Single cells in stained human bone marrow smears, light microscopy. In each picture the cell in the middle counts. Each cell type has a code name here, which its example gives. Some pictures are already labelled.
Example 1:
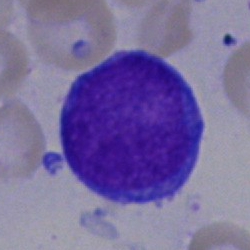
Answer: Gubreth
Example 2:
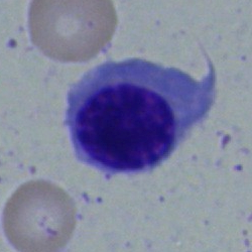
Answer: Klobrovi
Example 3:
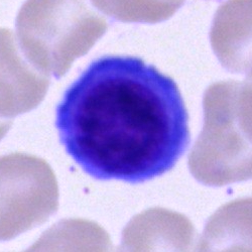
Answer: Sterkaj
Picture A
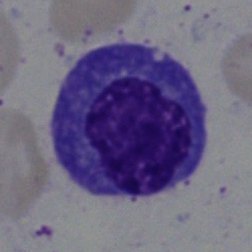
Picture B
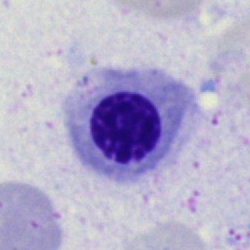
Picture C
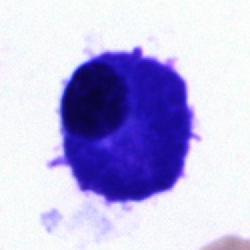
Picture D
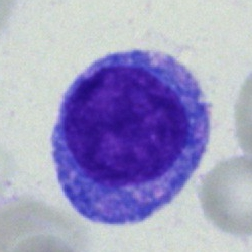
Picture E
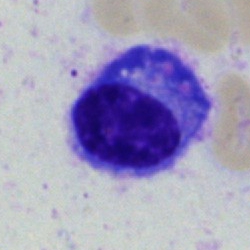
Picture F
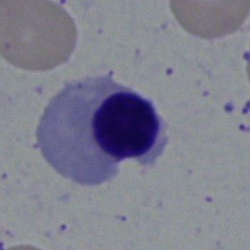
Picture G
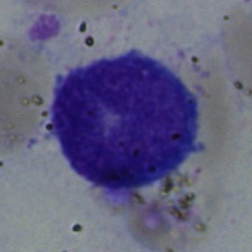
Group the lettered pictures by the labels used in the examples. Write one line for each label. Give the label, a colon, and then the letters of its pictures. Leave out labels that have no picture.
Gubreth: D, G
Klobrovi: B, F
Sterkaj: A, C, E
